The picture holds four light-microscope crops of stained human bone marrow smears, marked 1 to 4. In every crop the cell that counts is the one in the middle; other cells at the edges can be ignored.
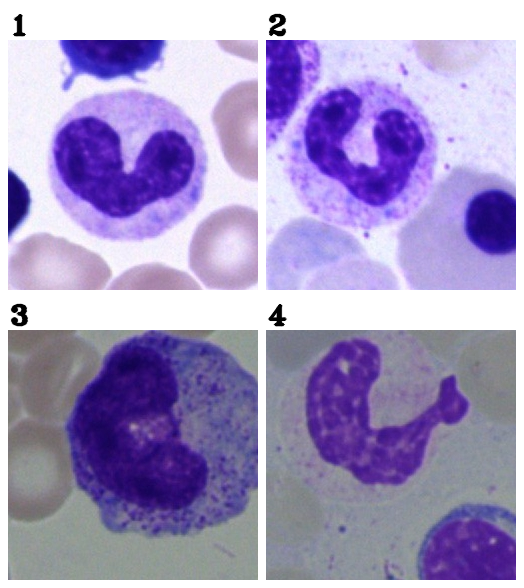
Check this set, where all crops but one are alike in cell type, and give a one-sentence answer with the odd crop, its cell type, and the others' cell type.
Identified in crop 3 is a metamyelocyte, whereas the other crops all show band neutrophils.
